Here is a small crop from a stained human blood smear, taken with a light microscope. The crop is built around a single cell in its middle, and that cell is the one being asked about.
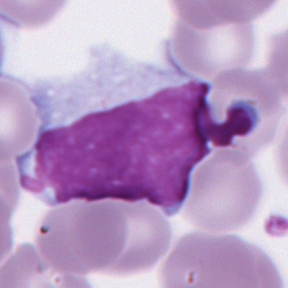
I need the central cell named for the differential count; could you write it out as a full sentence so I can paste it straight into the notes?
For this crop, the central cell is a typical lymphocyte.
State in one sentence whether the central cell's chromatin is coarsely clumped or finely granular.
The key point is fine chromatin with no coarse clumps.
